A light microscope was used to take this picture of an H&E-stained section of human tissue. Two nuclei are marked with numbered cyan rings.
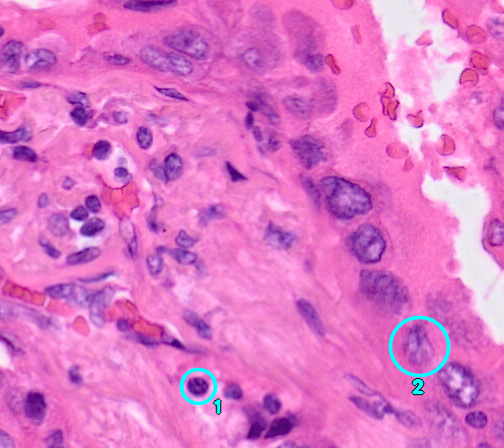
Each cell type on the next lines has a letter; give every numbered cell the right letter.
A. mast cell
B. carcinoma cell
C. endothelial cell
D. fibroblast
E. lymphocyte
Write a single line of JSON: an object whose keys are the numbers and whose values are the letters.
{"1": "E", "2": "B"}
